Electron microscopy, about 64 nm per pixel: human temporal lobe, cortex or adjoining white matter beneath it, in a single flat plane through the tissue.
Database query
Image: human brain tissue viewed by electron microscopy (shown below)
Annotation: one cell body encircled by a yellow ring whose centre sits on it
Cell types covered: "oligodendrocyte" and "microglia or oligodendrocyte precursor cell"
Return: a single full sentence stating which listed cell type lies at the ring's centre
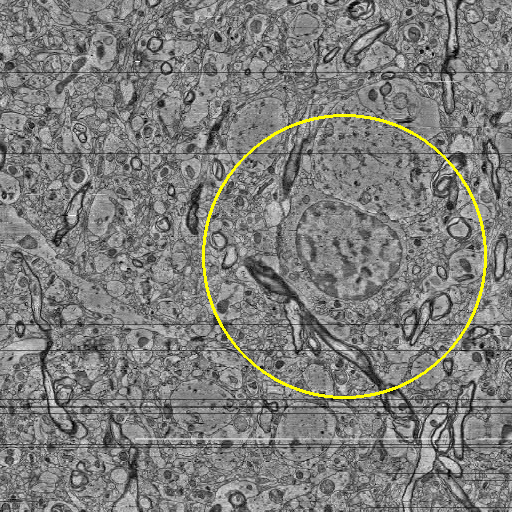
In the image, the cell lying at the ring's centre is an oligodendrocyte.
